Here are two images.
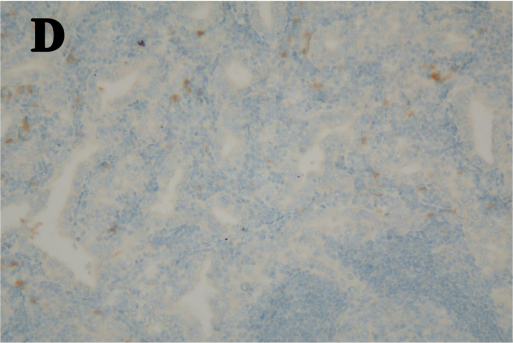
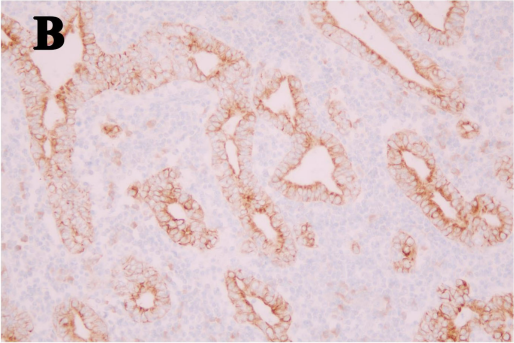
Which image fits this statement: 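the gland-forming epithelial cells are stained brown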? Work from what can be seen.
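First image: the glands and surrounding cells are blue, with only scattered faint brown specks. Second image: the epithelium lining the glands has strong brown membranous staining.
Conclusion: the second image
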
